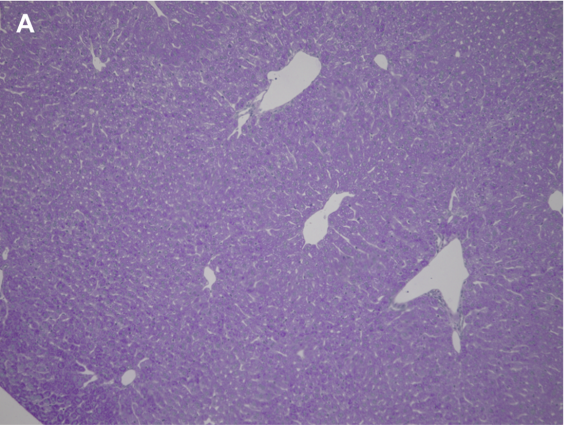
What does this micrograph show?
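This is liver tissue with hepatocytes in plates around scattered vessel lumens. No pale zones interrupt the staining, and the vessels appear as clear open spaces.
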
